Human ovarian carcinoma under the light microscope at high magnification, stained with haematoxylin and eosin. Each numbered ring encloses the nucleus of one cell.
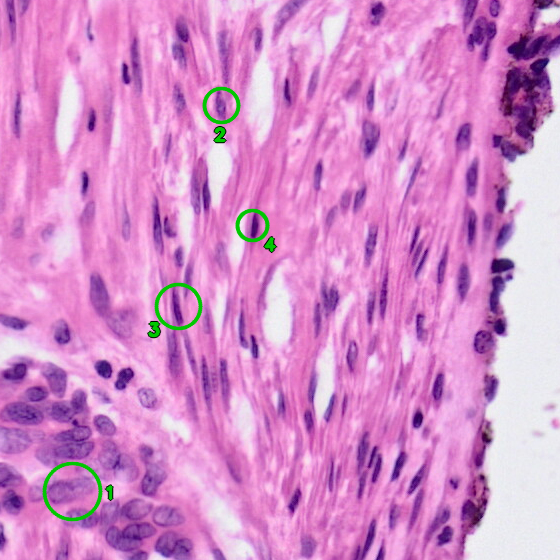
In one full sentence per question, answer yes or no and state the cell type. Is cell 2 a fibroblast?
Yes, regarding cell number 2, it is a fibroblast.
